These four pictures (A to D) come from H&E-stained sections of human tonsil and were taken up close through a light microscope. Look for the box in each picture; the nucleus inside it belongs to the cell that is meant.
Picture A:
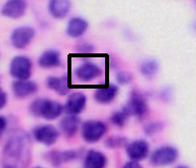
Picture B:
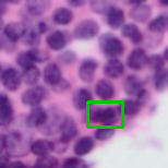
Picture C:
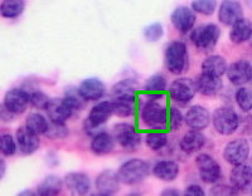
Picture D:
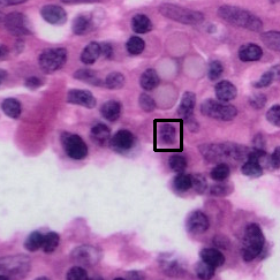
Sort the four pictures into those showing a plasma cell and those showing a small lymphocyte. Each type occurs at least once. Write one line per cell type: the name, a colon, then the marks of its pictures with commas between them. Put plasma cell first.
plasma cell: D
small lymphocyte: A, B, C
